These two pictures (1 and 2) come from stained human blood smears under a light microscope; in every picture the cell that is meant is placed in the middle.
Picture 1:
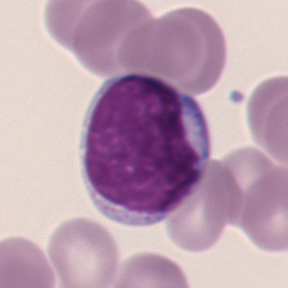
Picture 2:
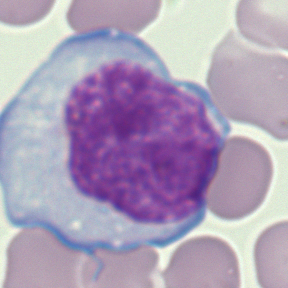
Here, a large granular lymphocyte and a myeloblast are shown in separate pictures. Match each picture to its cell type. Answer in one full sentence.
In picture 1 the cell is a large granular lymphocyte; in picture 2, a myeloblast.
